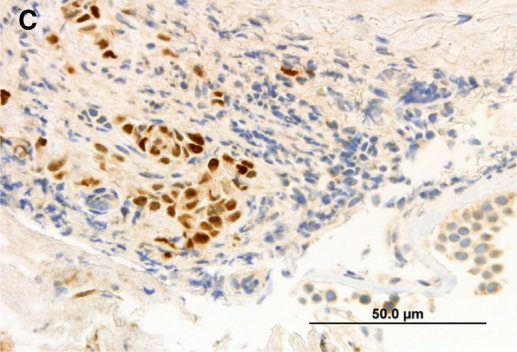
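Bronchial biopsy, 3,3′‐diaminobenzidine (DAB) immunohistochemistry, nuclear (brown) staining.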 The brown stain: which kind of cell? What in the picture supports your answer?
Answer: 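Tumour cells. A group of large cells with brown-stained nuclei sits on the left. Surrounding spindle cells have elongated blue nuclei.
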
